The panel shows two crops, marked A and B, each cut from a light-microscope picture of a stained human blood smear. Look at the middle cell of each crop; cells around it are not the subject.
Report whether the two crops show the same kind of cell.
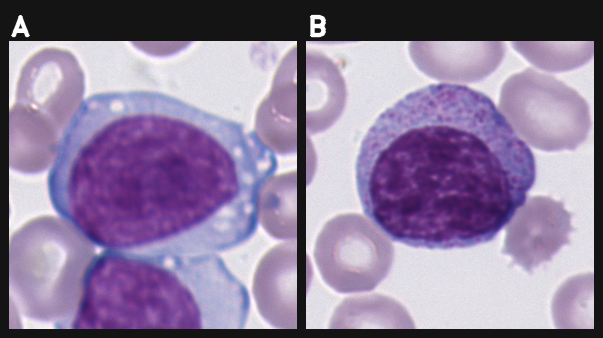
no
